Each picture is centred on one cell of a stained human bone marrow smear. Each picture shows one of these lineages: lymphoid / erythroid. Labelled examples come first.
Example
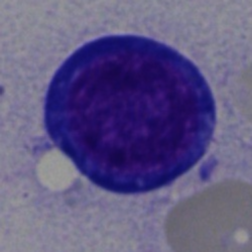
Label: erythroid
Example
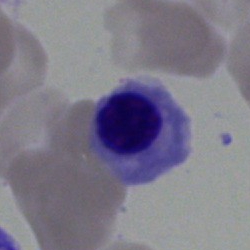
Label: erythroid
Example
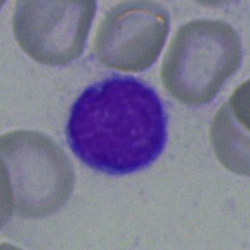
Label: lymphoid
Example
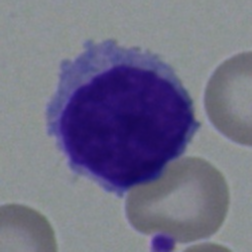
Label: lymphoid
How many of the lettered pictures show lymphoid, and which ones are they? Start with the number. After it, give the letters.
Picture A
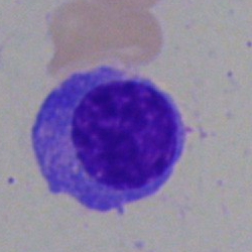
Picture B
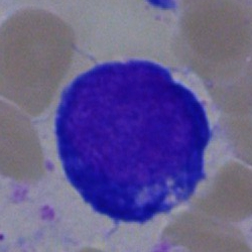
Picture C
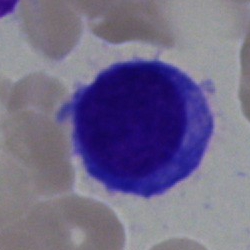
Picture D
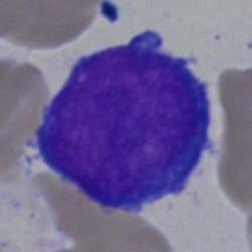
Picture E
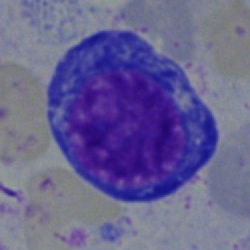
Count: 2 (A, C)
